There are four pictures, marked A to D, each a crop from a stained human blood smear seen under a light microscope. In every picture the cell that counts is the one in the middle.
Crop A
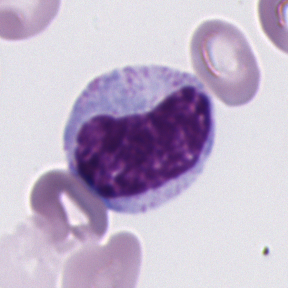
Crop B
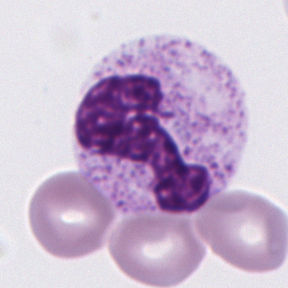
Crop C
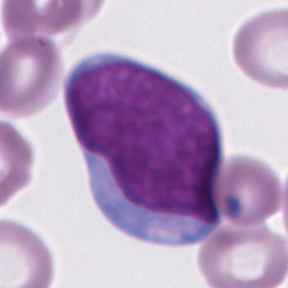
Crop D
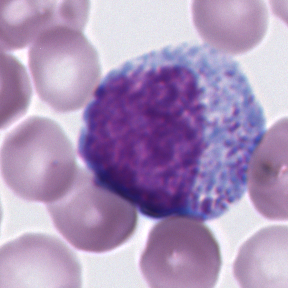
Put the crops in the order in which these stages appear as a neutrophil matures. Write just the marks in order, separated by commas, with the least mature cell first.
C, D, A, B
